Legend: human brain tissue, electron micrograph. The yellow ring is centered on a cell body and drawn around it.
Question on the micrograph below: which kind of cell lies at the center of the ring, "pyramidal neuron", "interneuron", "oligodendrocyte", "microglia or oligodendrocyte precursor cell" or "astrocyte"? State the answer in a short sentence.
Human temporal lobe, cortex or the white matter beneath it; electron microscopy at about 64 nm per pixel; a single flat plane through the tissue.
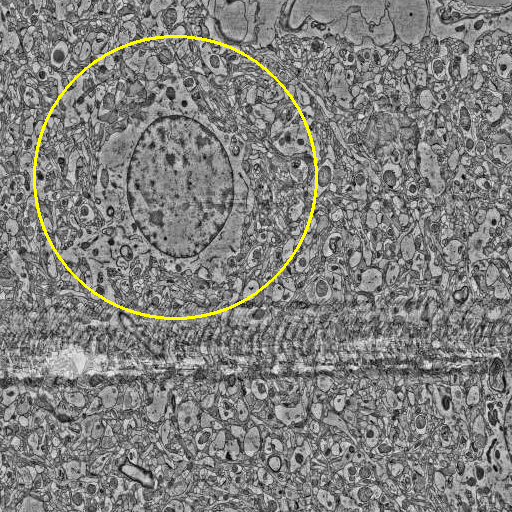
At the center of the ring lies an astrocyte.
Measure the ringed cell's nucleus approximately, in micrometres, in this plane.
The nucleus is approximately 9 micrometers long by 7 micrometers wide in this plane.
